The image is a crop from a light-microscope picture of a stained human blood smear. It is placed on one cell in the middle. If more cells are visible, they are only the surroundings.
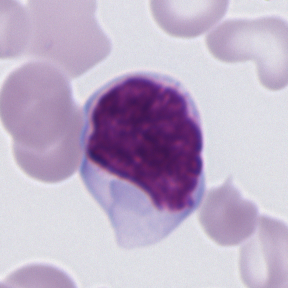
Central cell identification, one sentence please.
In short, the cell at the center is a large granular lymphocyte.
